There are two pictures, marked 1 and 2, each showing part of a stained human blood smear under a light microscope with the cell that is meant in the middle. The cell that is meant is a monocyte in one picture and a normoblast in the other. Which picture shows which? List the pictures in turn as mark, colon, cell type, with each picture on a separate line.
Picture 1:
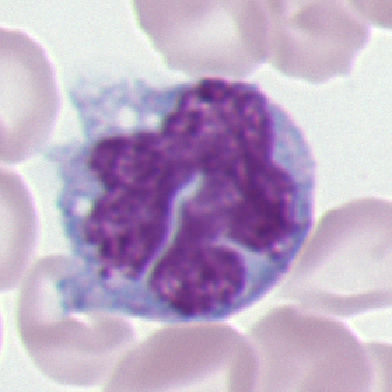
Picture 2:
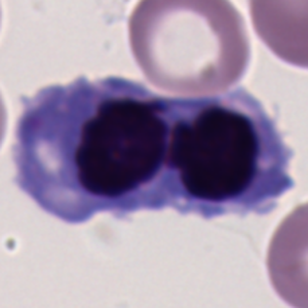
1: monocyte
2: normoblast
